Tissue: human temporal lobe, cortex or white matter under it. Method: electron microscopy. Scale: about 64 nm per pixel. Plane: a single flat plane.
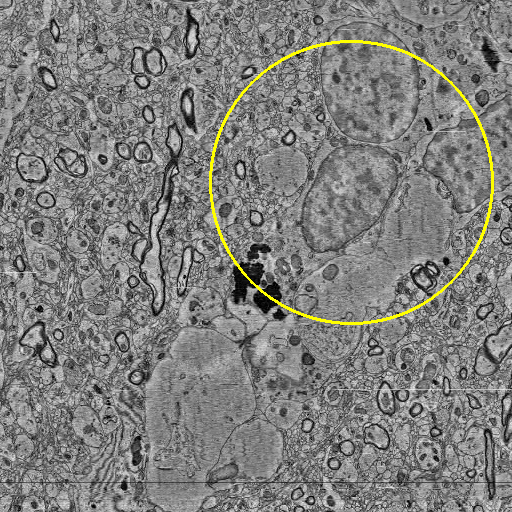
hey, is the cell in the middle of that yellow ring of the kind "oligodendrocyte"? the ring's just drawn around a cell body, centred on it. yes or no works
yes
